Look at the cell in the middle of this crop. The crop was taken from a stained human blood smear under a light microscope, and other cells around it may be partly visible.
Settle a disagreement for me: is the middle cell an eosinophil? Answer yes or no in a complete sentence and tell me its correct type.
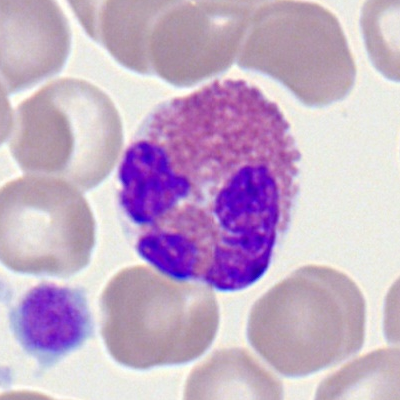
Yes, an eosinophil is the cell positioned in the middle of the field.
